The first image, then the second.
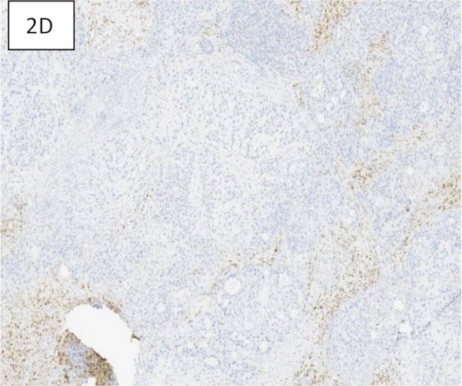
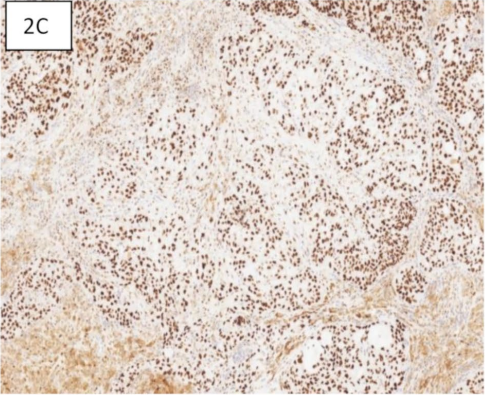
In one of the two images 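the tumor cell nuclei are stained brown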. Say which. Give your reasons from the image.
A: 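The second image. First image: tumor nests are blue, nuclei unstained. Second image: most tumor nuclei are dark brown throughout the nests.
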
